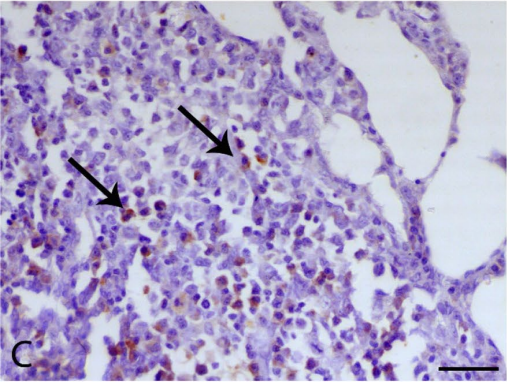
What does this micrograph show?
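This section of lung shows a densely cellular region in which the alveolar spaces are largely filled and obscured by packed cells with blue nuclei. To the right, a few open alveoli with thin septa remain visible at the edge of the dense area.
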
